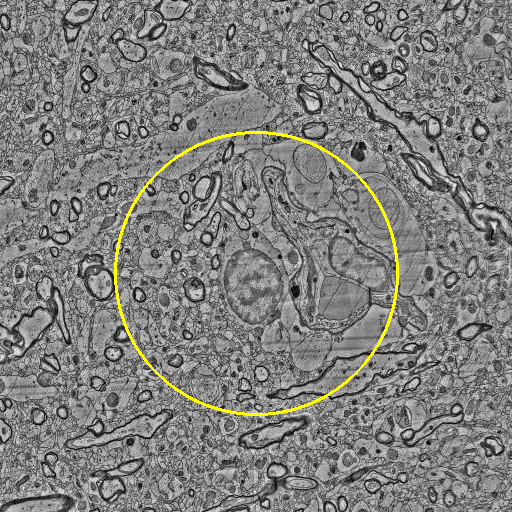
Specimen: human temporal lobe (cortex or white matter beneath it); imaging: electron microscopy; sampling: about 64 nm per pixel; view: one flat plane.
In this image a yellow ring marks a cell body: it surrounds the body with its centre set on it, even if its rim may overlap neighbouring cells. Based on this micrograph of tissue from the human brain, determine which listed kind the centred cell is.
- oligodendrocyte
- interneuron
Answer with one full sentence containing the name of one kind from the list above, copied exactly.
It is an oligodendrocyte whose body the yellow ring encloses at its centre.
